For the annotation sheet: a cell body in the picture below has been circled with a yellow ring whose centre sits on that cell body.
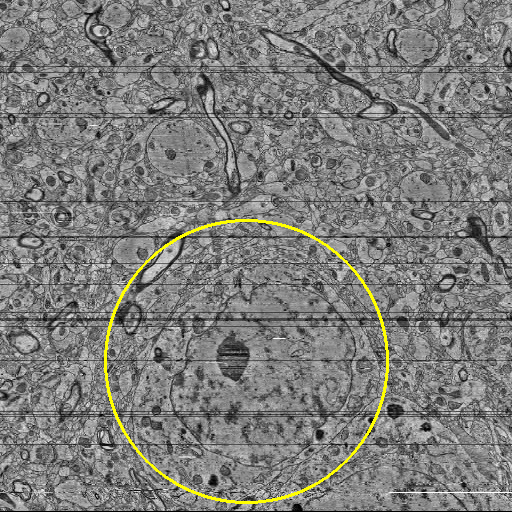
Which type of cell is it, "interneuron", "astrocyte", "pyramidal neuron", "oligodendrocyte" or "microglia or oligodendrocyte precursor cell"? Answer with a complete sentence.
The circled cell is a pyramidal neuron.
